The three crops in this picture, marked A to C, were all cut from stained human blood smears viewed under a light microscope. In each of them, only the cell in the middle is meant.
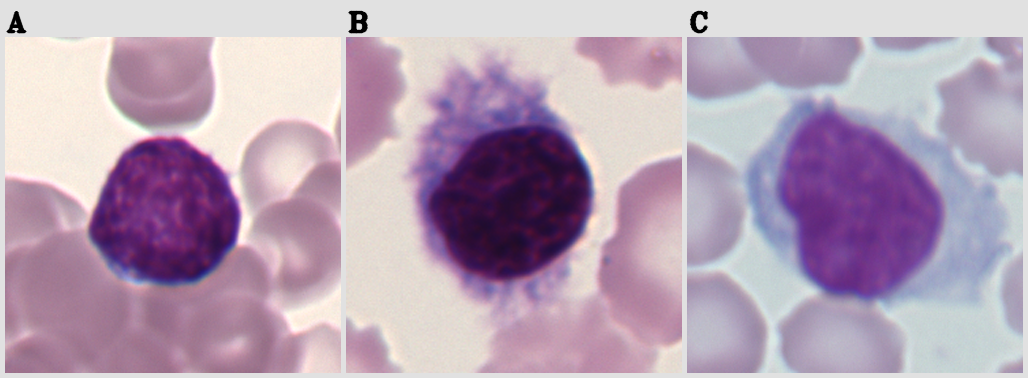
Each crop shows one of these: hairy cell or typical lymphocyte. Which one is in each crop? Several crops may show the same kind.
A: typical lymphocyte
B: hairy cell
C: hairy cell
